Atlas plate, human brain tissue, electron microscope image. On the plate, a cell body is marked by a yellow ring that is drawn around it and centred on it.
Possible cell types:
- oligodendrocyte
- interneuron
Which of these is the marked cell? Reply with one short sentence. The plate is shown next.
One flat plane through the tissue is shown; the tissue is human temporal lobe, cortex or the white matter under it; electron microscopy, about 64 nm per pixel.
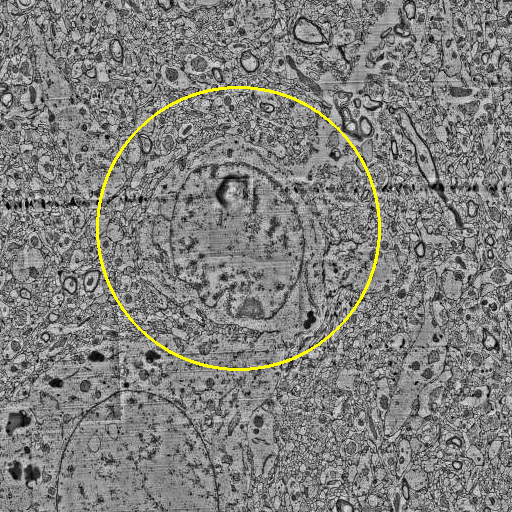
The marked cell is an interneuron.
